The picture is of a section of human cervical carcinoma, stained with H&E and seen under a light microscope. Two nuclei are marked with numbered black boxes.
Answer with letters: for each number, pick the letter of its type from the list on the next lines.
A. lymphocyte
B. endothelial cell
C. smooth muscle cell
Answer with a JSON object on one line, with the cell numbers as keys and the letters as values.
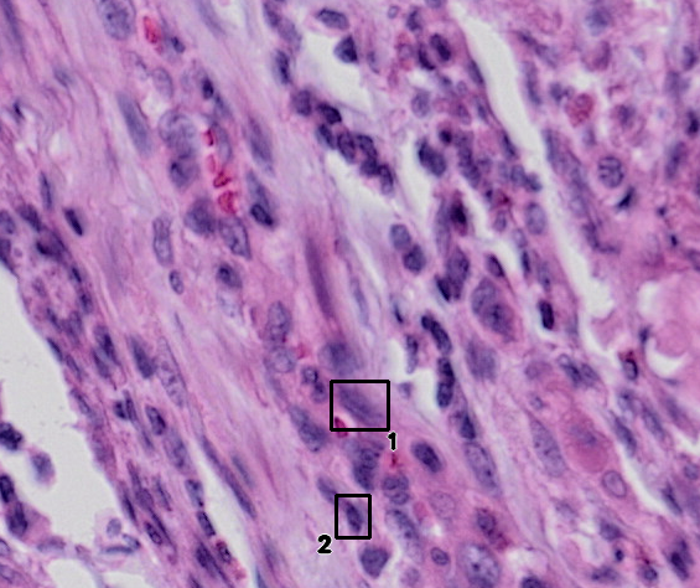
{"1": "B", "2": "A"}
